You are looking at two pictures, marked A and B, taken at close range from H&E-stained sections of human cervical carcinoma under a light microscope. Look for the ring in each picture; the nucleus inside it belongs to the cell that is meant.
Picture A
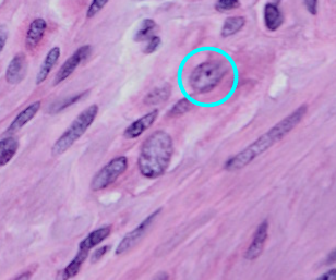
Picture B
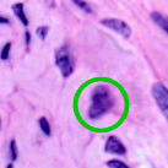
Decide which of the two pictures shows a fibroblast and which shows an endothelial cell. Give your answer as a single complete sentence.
Picture A shows an endothelial cell and picture B shows a fibroblast.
